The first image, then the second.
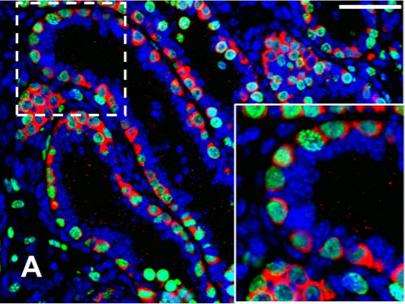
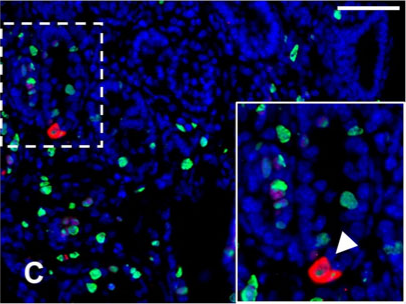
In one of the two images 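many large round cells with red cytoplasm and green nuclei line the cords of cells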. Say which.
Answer: The first image.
